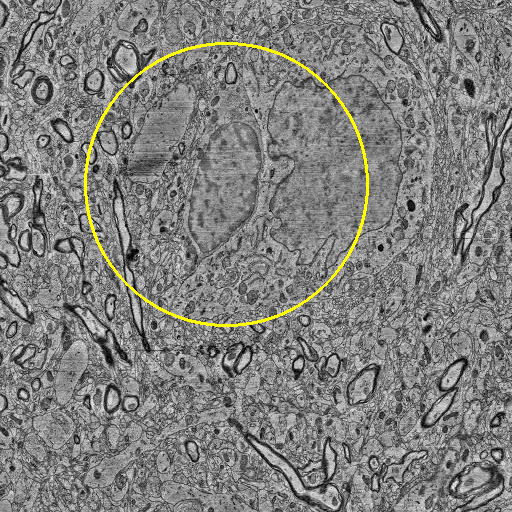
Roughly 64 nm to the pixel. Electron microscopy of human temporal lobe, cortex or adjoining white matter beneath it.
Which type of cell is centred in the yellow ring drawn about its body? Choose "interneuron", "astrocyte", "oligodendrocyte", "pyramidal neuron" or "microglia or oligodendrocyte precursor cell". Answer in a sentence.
The yellow ring surrounds the cell body of an oligodendrocyte.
